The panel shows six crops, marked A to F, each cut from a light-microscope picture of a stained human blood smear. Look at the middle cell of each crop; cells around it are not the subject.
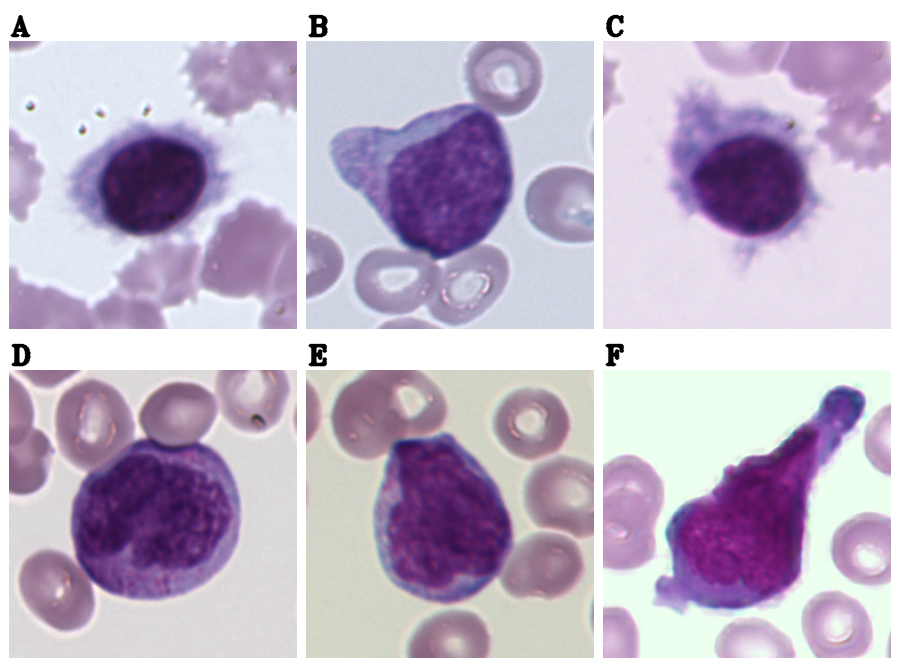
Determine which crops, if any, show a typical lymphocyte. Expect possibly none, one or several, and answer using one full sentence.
The center cell of every crop is something other than a typical lymphocyte.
